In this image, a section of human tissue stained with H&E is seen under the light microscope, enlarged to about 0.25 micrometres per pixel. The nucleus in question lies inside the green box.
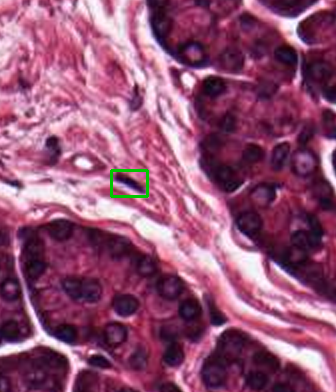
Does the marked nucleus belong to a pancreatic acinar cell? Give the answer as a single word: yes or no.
no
